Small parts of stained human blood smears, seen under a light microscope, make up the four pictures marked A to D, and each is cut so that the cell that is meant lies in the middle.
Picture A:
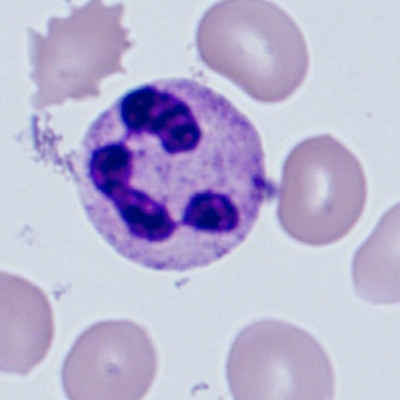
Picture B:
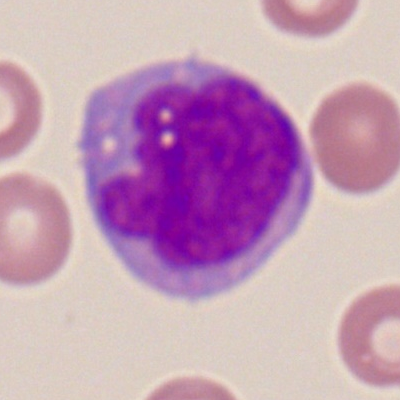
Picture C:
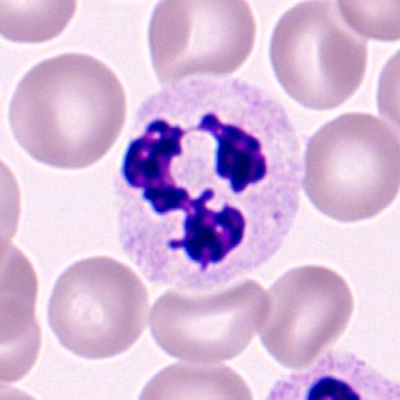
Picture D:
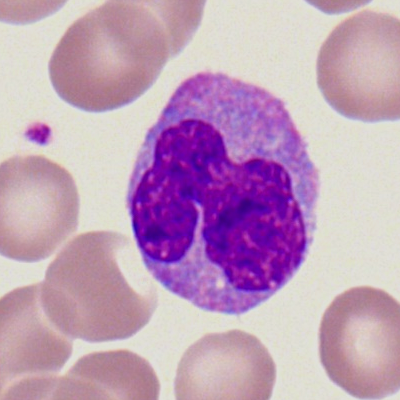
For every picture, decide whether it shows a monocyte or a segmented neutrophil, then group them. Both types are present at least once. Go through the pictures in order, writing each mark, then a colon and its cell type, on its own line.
A: segmented neutrophil
B: monocyte
C: segmented neutrophil
D: monocyte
